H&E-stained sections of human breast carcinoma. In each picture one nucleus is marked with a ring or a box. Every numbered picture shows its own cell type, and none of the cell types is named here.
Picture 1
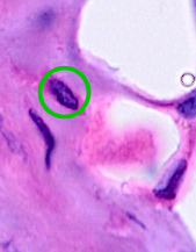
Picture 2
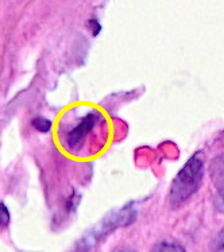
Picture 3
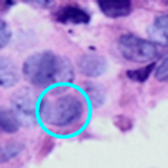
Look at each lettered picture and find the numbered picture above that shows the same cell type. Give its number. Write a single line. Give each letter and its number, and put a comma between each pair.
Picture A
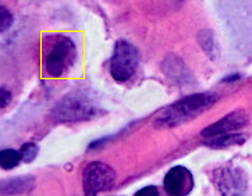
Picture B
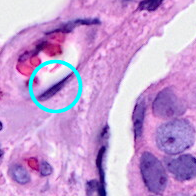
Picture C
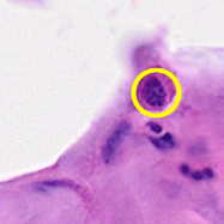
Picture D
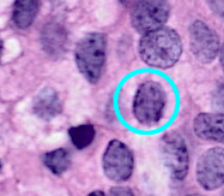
A 1, B 2, C 1, D 3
